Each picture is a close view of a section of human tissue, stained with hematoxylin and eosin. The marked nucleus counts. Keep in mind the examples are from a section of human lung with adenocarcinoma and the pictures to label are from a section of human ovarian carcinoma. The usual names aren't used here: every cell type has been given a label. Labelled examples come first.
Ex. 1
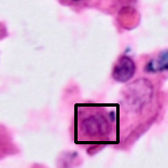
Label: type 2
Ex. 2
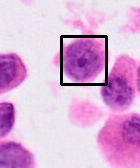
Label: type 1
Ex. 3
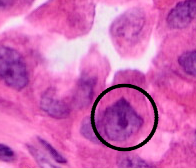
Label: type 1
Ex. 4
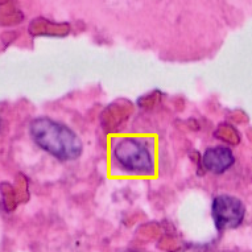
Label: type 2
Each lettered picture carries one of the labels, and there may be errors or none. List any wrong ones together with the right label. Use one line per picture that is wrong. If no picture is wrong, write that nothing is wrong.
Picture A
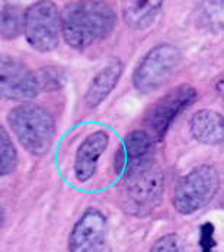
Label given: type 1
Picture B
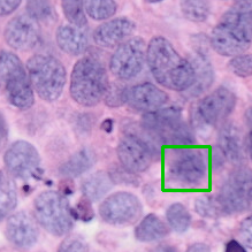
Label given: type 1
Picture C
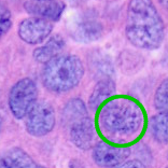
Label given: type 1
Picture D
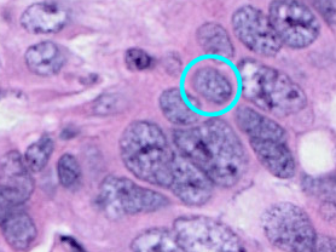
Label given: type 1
A: not type 1 but type 2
